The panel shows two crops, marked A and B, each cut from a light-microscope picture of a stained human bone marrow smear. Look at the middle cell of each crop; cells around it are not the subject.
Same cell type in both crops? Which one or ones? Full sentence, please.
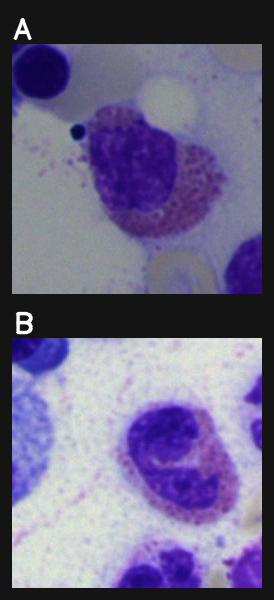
Yes, both crops contain eosinophils at their centres.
